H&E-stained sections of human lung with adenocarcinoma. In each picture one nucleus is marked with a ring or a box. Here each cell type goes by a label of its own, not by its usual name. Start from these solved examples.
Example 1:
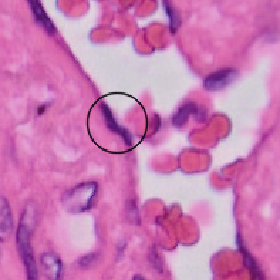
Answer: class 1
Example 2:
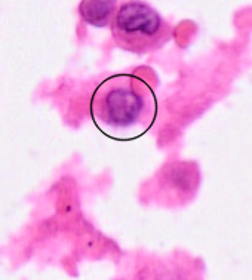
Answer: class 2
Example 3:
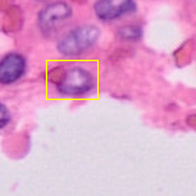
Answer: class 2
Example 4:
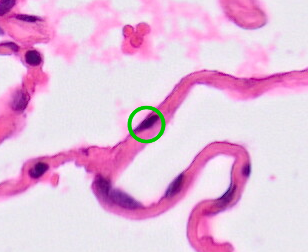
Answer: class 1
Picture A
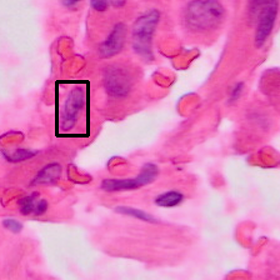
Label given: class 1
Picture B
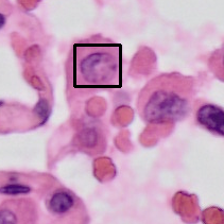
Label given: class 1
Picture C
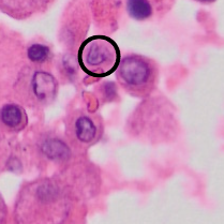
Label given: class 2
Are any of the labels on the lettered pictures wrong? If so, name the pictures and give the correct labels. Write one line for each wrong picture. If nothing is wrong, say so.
A is labelled class 1; correct label: class 2
B is labelled class 1; correct label: class 2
